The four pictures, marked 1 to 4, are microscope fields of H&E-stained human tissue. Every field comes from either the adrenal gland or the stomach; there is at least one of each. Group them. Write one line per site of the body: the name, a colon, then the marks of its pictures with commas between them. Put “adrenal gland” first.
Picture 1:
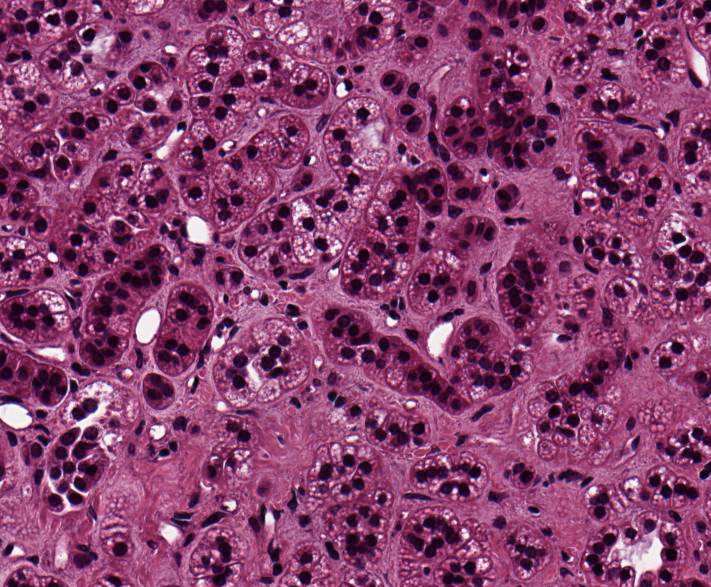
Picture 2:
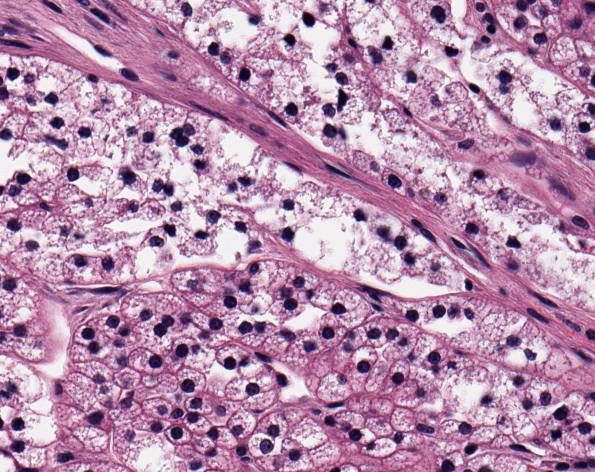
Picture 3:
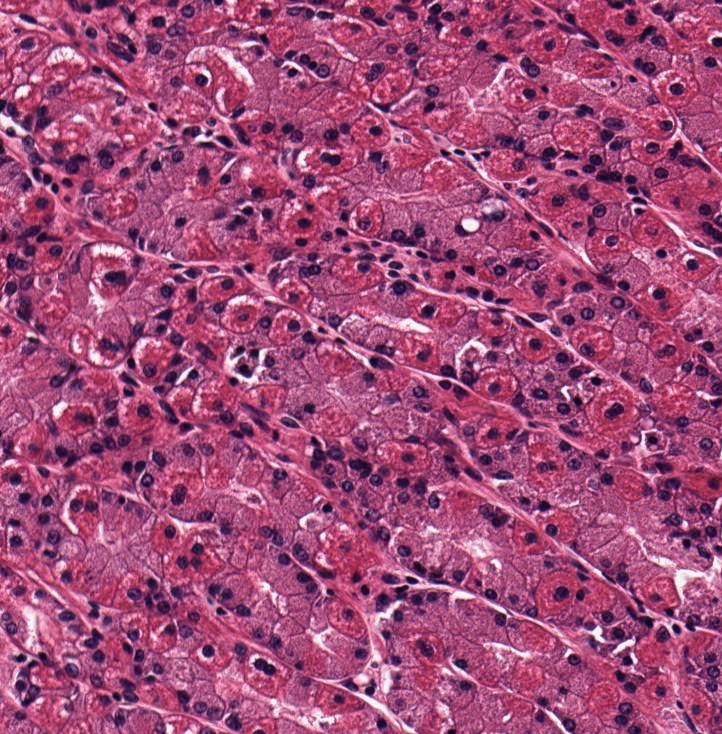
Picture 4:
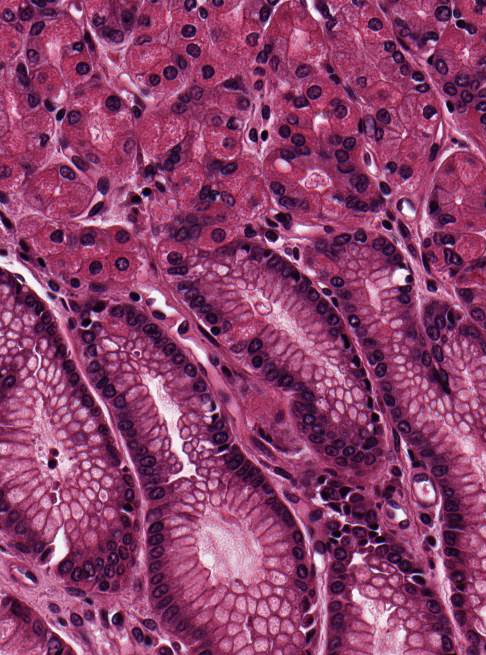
adrenal gland: 1, 2
stomach: 3, 4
